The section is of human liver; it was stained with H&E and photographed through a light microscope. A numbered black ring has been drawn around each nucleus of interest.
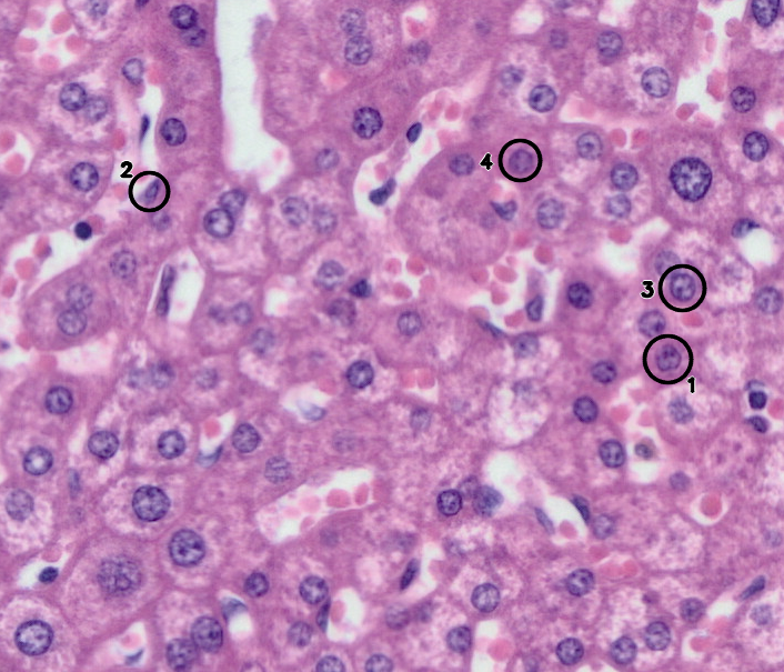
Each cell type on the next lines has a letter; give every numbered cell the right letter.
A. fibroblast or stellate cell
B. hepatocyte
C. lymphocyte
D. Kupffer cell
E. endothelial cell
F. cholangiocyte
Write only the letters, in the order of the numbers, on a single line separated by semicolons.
B; E; B; B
